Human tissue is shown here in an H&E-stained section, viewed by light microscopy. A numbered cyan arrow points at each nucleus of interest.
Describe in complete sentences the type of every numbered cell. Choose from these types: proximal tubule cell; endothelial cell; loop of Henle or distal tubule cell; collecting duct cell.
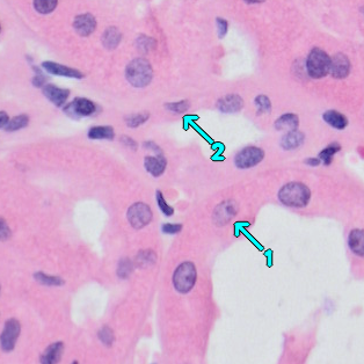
Cell 1 is a proximal tubule cell. Cell 2 is a collecting duct cell.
